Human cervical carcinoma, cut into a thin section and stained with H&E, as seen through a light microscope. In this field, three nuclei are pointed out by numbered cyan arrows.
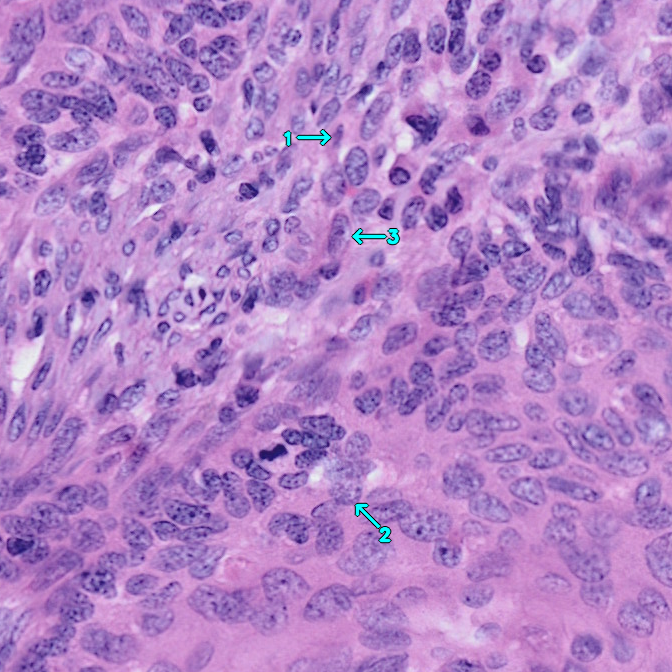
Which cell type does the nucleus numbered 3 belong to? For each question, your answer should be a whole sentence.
In this section, the cell tagged 3 is an endothelial cell.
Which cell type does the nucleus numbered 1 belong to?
The cell that goes by number 1 is an endothelial cell.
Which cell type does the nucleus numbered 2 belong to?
Marked with the number 2, this cell is a squamous carcinoma cell.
